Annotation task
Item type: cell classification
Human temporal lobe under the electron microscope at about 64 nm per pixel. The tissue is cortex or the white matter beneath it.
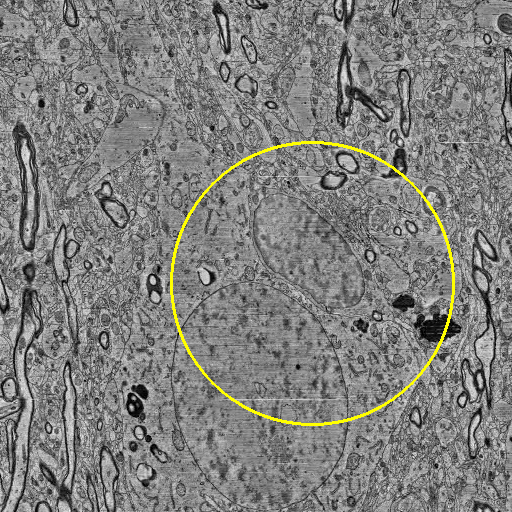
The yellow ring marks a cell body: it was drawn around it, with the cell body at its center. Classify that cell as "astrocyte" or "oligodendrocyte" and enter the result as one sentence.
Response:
The ring's center falls on an oligodendrocyte.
